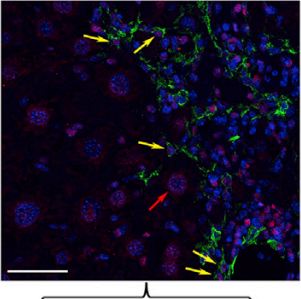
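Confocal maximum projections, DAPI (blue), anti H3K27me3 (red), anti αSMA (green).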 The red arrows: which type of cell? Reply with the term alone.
Hepatocytes.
